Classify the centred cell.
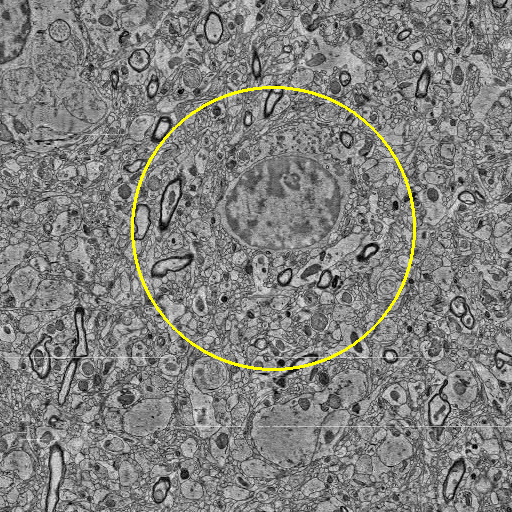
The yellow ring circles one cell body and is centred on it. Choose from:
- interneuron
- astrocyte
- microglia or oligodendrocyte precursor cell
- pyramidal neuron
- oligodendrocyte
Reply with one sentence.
The ring is centred on an oligodendrocyte.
